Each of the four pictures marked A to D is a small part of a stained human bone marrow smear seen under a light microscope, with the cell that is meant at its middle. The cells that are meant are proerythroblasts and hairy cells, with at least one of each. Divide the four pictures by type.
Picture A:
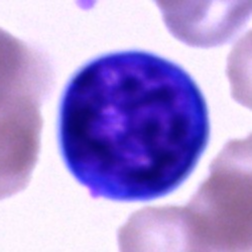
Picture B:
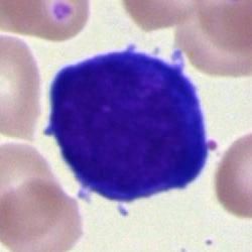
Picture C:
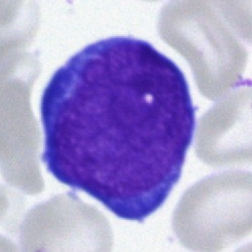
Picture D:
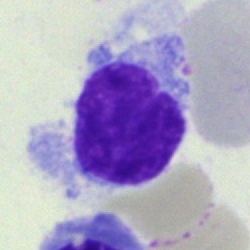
A: proerythroblast
B: proerythroblast
C: proerythroblast
D: hairy cell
